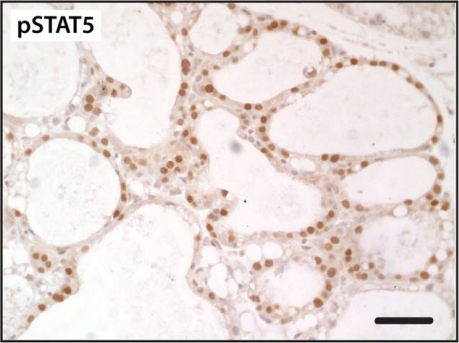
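This is mammary gland tissue, where rounded alveoli are lined by a single layer of epithelial cells surrounding wide, pale lumens. Many of the epithelial nuclei are stained brown, while others stay pale blue-grey. The lining cells are flattened to cuboidal, and their cytoplasm often holds small clear vacuoles, giving a bubbly look in places. The lumens contain faintly stained, finely granular material. Thin strands of tissue separate neighbouring alveoli, so the lumens press closely against one another, and the epithelium is still arranged as a continuous lining around each space.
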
